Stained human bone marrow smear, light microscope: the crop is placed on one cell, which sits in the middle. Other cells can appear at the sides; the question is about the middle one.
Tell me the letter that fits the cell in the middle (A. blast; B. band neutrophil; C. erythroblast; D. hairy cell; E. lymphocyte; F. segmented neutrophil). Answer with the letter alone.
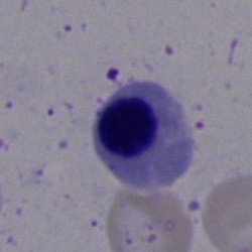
C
